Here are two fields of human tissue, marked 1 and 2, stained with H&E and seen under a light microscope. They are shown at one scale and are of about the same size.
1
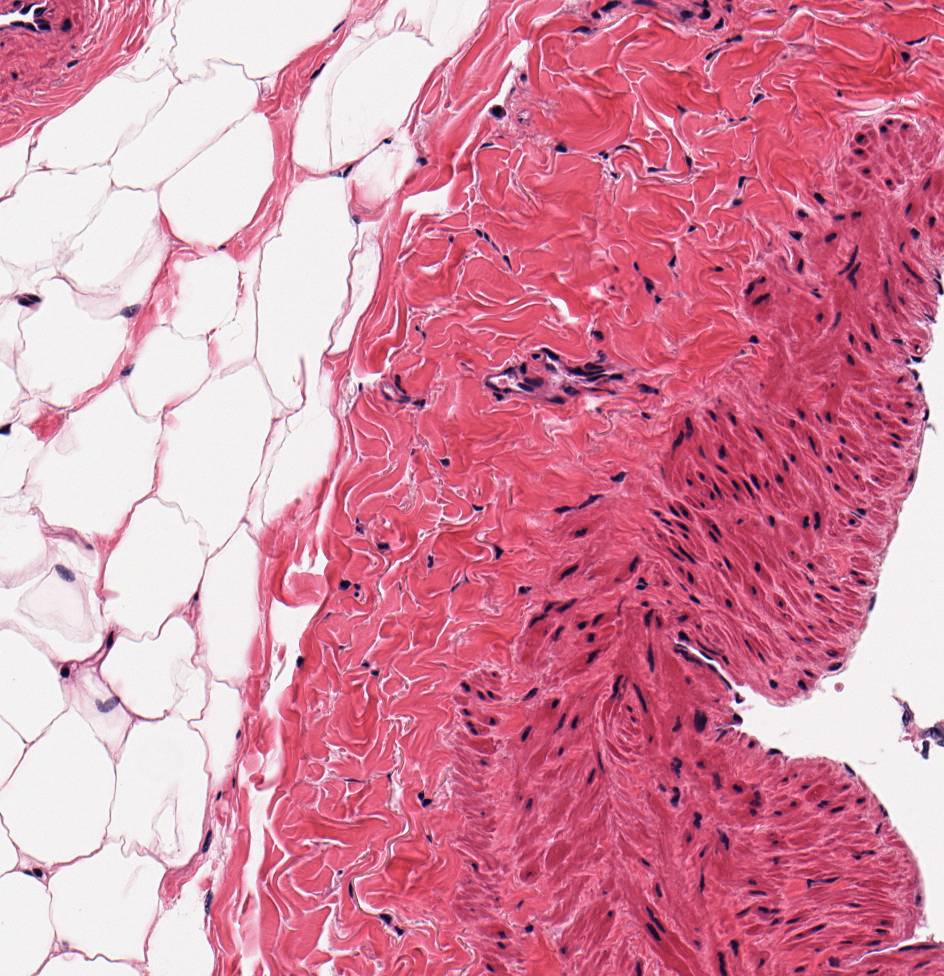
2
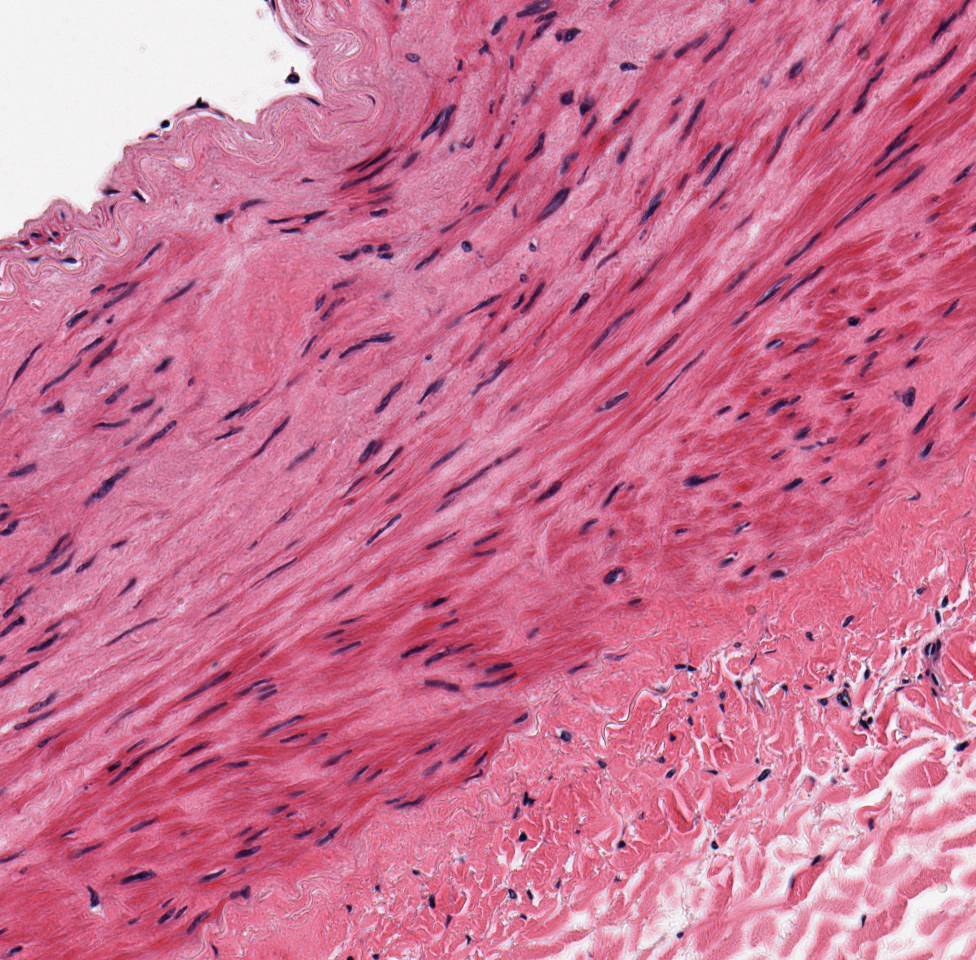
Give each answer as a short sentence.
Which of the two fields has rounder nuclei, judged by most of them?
It is field 1 whose nuclei are the rounder.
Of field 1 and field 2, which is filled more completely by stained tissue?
Unstained space takes up less of field 2 than of field 1.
